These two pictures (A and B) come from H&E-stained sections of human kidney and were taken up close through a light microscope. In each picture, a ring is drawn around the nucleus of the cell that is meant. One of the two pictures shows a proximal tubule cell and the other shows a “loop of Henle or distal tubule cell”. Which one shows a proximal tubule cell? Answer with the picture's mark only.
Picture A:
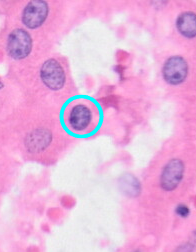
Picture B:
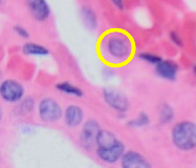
A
